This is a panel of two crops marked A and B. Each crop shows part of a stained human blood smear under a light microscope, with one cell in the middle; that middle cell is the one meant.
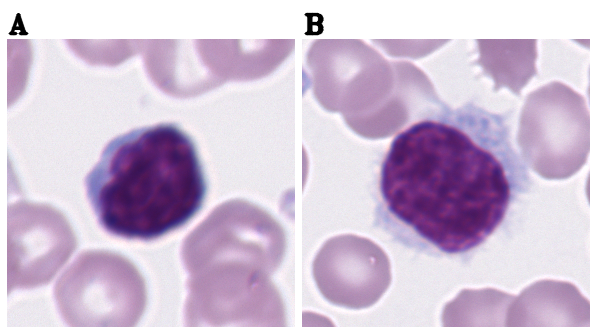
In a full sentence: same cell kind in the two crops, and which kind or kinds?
No, the cell of interest in crop A is a typical lymphocyte, and in crop B it is a hairy cell.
